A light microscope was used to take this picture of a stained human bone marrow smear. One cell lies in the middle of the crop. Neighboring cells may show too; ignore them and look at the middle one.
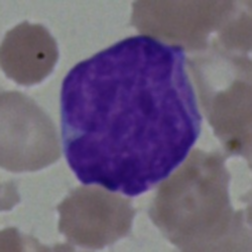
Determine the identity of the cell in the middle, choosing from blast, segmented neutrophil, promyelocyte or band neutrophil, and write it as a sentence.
Looking at the middle of the crop, the cell there is a blast.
